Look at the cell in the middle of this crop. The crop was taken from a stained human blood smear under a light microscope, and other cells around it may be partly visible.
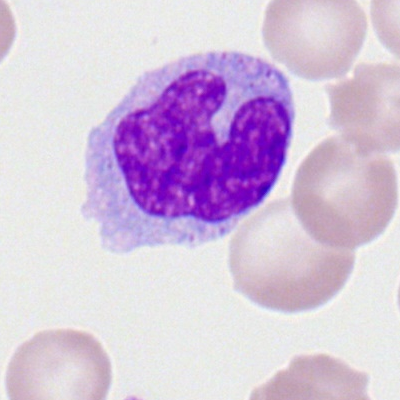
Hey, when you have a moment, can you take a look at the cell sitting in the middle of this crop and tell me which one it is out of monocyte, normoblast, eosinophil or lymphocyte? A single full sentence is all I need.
To answer, the cell in the center of the crop is a monocyte.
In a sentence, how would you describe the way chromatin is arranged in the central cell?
The chromatin here is fine and lacks any coarse clumps.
